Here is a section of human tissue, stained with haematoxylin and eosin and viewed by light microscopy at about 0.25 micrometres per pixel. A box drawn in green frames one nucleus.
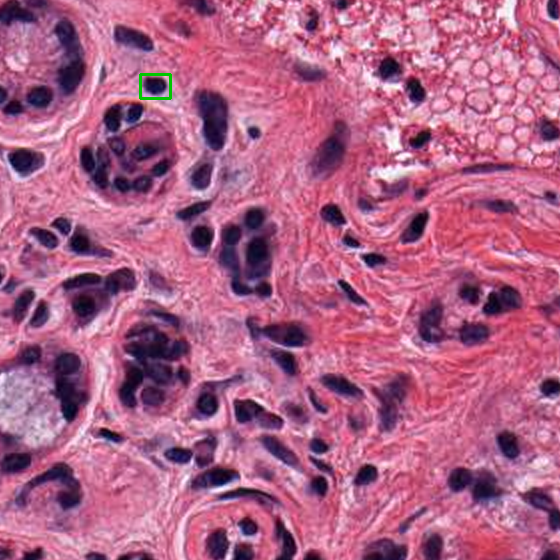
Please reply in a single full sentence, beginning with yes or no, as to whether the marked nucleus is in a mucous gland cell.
No, the marked nucleus is located in a supporting cell and not in a mucous gland cell.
